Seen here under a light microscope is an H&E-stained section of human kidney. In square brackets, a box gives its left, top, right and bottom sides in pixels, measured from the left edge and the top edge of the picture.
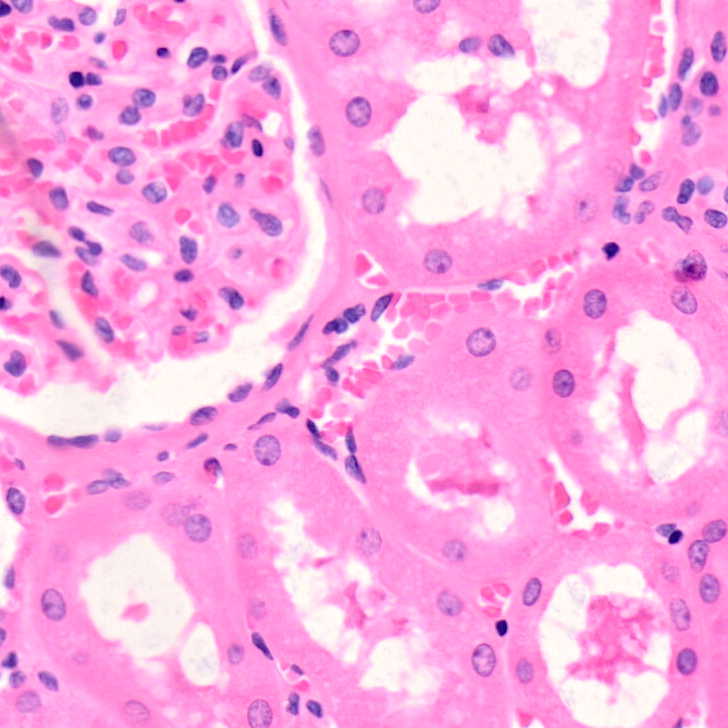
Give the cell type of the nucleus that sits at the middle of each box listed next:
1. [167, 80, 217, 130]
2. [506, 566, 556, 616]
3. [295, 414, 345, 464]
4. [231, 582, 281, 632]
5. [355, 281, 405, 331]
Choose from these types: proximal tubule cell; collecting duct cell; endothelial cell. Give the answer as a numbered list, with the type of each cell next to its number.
1. endothelial cell
2. proximal tubule cell
3. endothelial cell
4. proximal tubule cell
5. endothelial cell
